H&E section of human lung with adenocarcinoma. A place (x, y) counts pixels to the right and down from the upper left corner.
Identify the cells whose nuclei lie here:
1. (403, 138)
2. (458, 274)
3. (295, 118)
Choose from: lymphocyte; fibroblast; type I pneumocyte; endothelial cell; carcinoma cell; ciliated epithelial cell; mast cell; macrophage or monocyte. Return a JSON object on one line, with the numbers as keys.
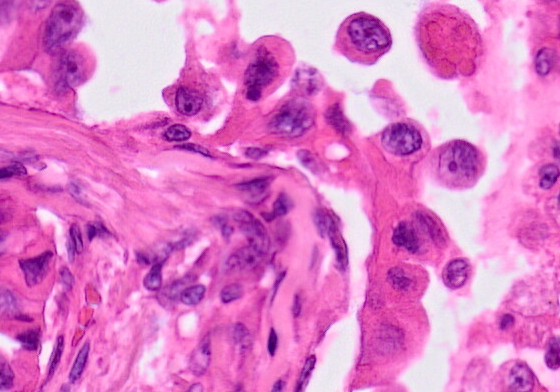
{"1": "carcinoma cell", "2": "macrophage or monocyte", "3": "carcinoma cell"}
